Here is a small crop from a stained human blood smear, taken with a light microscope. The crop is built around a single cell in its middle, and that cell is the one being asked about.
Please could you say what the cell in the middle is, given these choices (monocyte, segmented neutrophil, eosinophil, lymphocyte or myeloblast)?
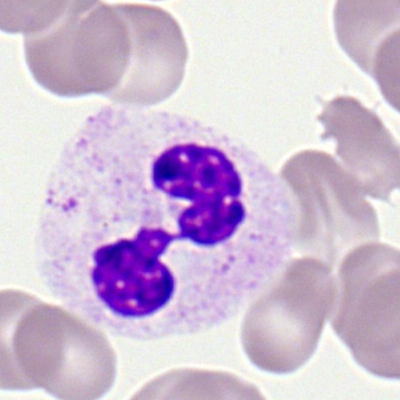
segmented neutrophil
